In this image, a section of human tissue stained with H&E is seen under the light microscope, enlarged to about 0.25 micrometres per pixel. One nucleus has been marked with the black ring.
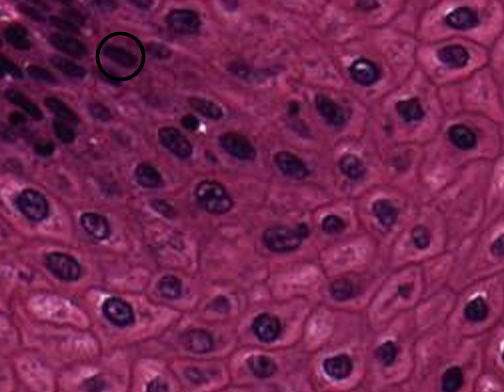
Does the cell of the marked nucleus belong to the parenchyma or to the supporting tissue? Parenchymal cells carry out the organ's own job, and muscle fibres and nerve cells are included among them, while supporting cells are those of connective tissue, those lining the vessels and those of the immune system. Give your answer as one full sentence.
The marked nucleus is part of the parenchyma, belonging to a squamous epithelial cell.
